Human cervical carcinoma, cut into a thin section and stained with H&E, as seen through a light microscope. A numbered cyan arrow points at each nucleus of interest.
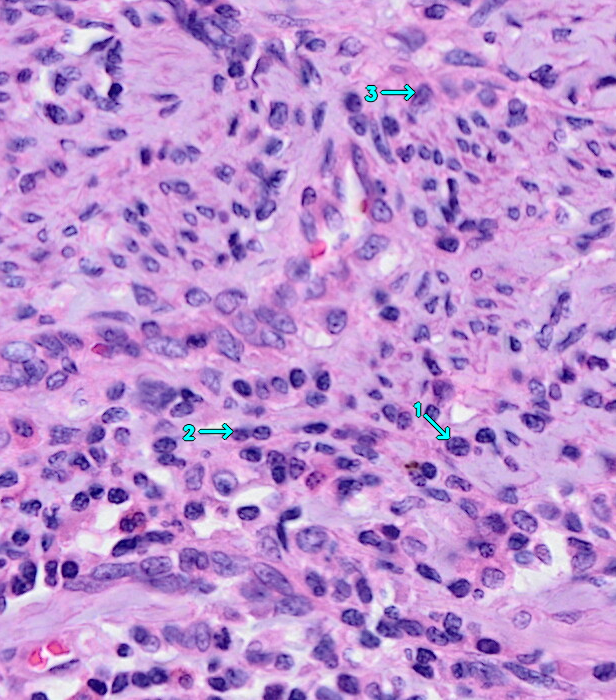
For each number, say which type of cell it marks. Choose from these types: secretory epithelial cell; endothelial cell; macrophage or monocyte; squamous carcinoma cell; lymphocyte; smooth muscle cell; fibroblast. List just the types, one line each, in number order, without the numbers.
lymphocyte
lymphocyte
endothelial cell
